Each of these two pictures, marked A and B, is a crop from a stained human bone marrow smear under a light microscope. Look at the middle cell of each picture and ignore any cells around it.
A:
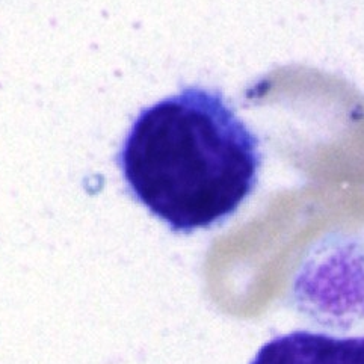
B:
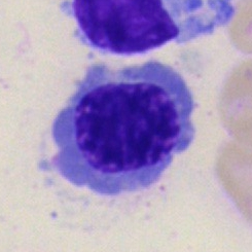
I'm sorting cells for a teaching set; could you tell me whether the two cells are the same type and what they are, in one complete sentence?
No, a lymphocyte is the subject of crop A, and an erythroblast is the subject of crop B.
